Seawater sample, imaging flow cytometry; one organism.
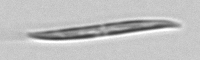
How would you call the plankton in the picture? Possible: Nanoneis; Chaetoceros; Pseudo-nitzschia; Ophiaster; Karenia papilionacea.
I would call it Pseudo-nitzschia.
